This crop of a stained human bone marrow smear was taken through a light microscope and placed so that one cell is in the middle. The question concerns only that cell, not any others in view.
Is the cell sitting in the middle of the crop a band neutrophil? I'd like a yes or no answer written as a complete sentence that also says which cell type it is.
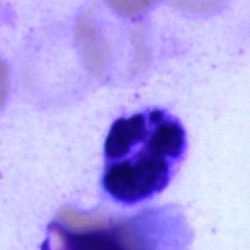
No, the central cell is not a band neutrophil, being instead a segmented neutrophil.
